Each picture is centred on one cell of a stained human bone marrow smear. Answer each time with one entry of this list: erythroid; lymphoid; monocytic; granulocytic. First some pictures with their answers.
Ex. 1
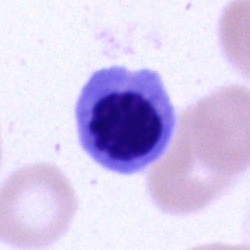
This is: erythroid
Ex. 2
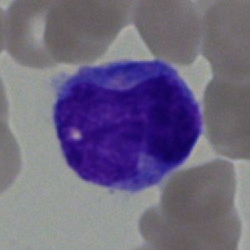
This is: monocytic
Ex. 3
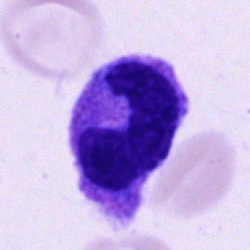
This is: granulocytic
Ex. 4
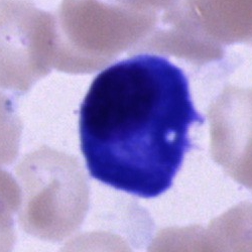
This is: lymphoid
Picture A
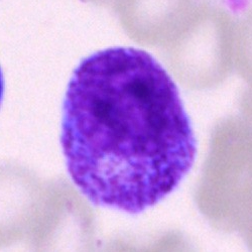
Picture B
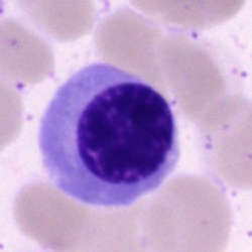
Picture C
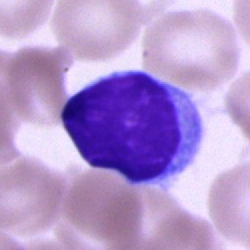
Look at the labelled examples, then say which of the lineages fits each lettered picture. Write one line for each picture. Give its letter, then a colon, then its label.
A: granulocytic
B: erythroid
C: lymphoid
